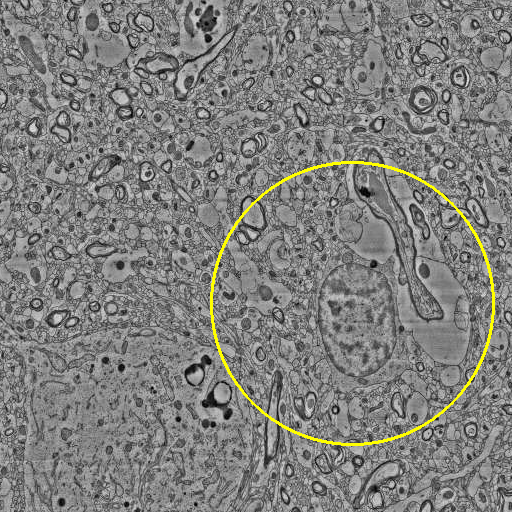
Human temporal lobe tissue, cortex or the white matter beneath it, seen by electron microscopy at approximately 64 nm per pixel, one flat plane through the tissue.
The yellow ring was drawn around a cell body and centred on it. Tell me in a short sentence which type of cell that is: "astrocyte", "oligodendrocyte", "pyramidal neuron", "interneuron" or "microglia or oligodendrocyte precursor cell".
The cell at the ring's centre is an oligodendrocyte.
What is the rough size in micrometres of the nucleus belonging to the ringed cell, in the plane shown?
In this plane, about 7 micrometres in length and 5 in width.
